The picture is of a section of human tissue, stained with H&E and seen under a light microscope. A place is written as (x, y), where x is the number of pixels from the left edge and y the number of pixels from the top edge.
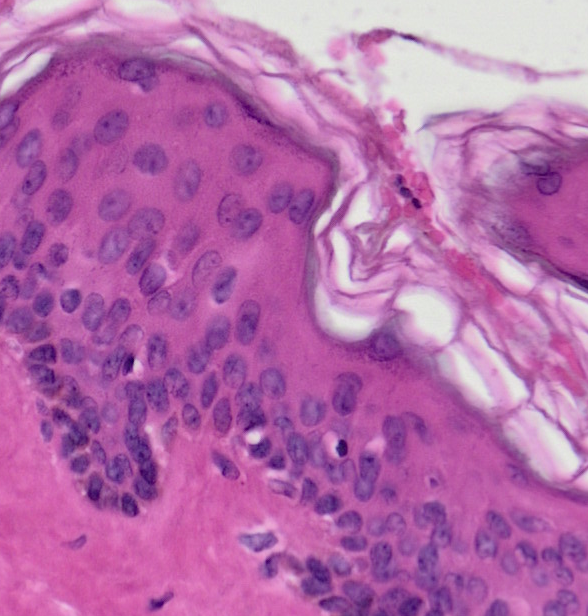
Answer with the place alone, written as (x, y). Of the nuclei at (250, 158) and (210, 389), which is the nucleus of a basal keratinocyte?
(210, 389)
